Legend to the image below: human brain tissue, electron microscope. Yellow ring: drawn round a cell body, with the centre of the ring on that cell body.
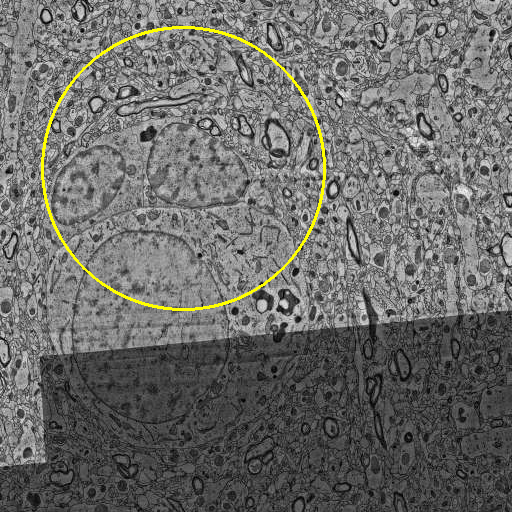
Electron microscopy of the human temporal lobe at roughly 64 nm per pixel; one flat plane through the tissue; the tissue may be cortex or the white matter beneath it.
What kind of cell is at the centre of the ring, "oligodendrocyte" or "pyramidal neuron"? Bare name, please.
oligodendrocyte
